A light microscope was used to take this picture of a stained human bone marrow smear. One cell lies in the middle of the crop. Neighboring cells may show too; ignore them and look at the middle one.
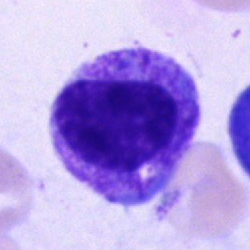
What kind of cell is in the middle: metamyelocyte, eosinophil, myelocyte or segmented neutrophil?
myelocyte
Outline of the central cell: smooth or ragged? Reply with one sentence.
No projections interrupt the outline; it is smooth all the way round.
